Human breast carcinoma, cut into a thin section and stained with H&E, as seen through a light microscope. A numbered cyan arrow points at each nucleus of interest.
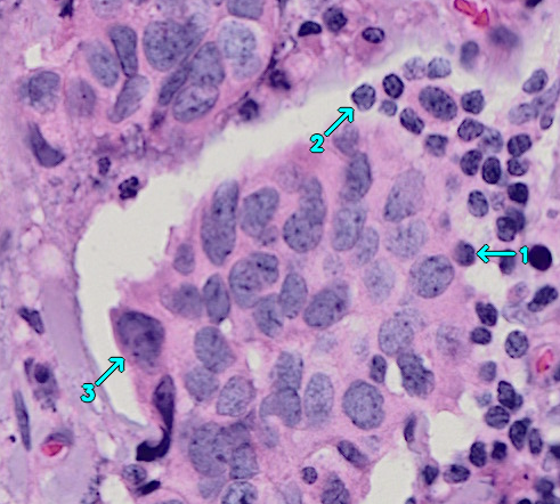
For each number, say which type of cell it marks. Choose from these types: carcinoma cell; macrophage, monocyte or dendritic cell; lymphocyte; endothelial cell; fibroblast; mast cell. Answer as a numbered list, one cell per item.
1. lymphocyte
2. lymphocyte
3. carcinoma cell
